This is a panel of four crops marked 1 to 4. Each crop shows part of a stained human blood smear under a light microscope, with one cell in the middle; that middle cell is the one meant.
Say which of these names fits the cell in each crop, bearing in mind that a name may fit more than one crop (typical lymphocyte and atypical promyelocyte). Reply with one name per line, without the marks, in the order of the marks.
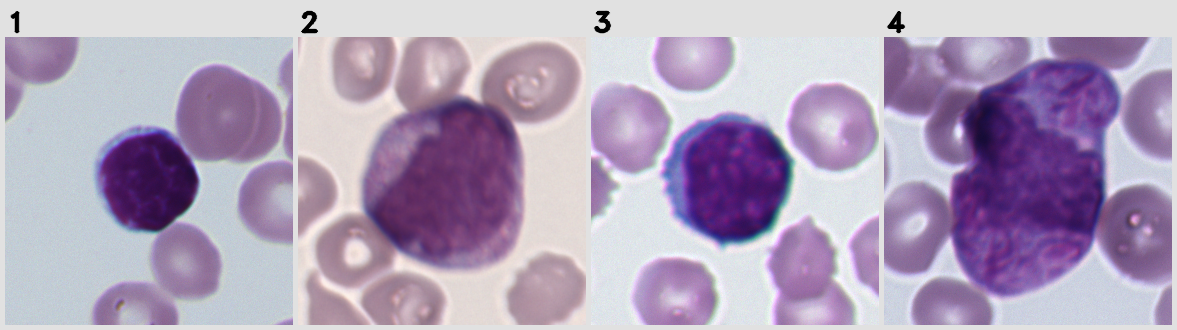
typical lymphocyte
atypical promyelocyte
typical lymphocyte
atypical promyelocyte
